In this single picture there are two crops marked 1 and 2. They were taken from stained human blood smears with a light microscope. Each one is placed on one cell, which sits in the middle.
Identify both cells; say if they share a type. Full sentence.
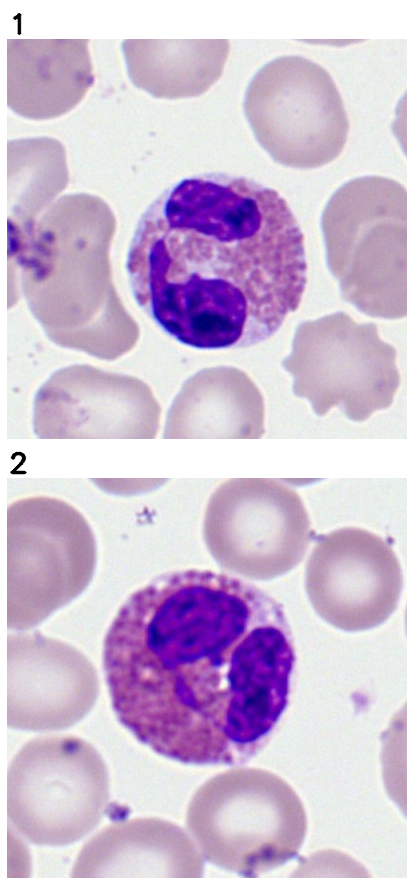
Yes, what both crops show at their centres are eosinophils.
